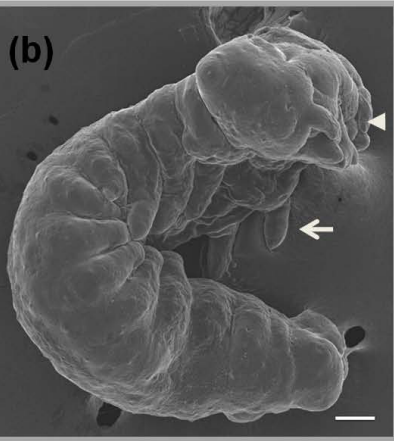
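Surface view of a whole insect embryo, curled into a C shape, with a bulky head region above and a series of rounded trunk segments curving below. Small lobed mouthparts project at the front of the head, and a slender thoracic leg extends from the underside just behind it.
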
